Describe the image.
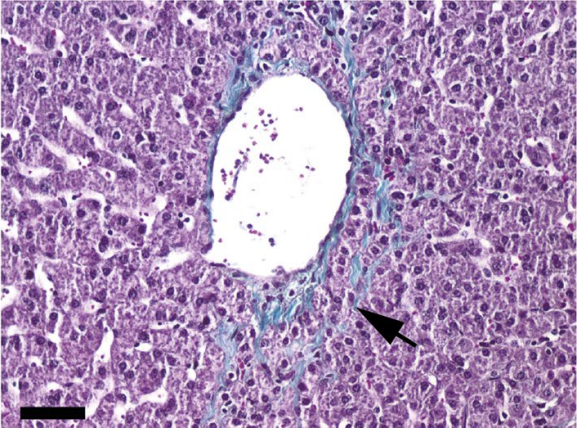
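This is liver parenchyma around a central vein showing fibrosis in the surrounding zone. The vein is a large oval lumen containing scattered red blood cells, encircled by a thick cuff of blue-green fibrous tissue with elongated nuclei. Thin blue-green strands run from this cuff outward along the sinusoids, between the hepatocyte cords. The hepatocytes are polygonal with purple cytoplasm and round nuclei, and the sinusoids appear narrower and less open than in normal liver.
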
